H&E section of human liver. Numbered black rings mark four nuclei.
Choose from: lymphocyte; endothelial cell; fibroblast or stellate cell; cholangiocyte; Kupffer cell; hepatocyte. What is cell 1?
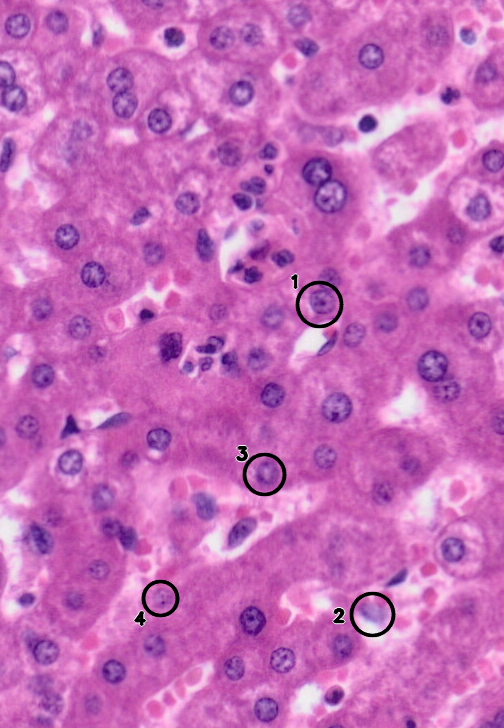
hepatocyte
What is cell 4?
hepatocyte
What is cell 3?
hepatocyte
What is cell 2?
Kupffer cell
